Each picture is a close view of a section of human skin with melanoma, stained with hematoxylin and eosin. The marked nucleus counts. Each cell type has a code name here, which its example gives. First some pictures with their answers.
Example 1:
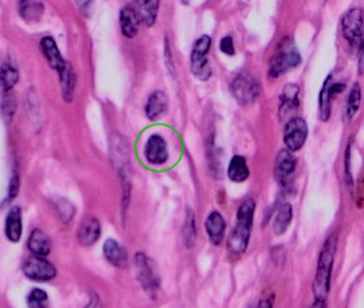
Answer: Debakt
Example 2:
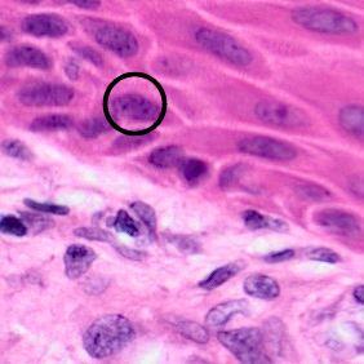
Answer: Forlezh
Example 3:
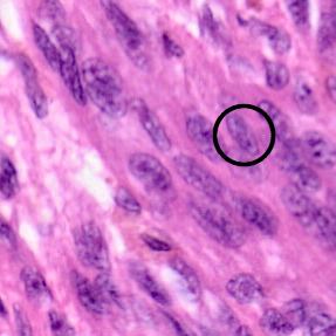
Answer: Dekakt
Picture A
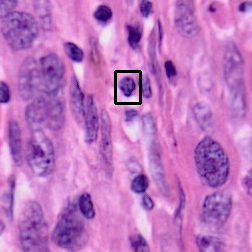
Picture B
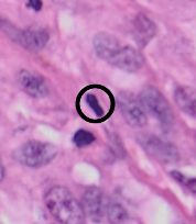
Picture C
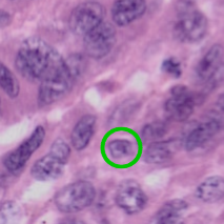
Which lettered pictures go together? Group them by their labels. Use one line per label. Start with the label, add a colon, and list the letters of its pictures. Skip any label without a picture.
Debakt: A, B
Dekakt: C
